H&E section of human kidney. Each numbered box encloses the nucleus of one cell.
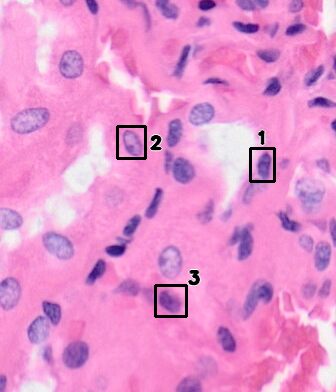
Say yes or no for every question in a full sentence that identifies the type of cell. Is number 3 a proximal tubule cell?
Yes, kindly take note: the cell numbered 3 is a proximal tubule cell.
